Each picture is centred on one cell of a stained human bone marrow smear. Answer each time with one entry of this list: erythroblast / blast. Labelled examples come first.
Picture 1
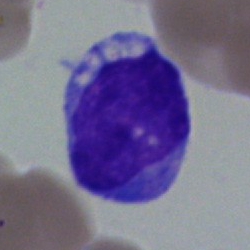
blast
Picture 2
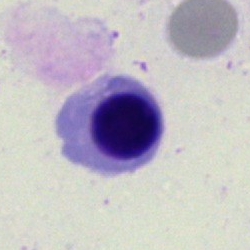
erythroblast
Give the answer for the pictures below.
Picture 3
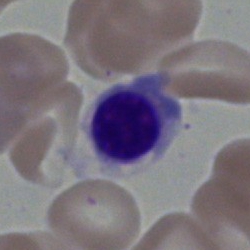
erythroblast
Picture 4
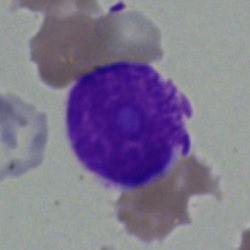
blast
